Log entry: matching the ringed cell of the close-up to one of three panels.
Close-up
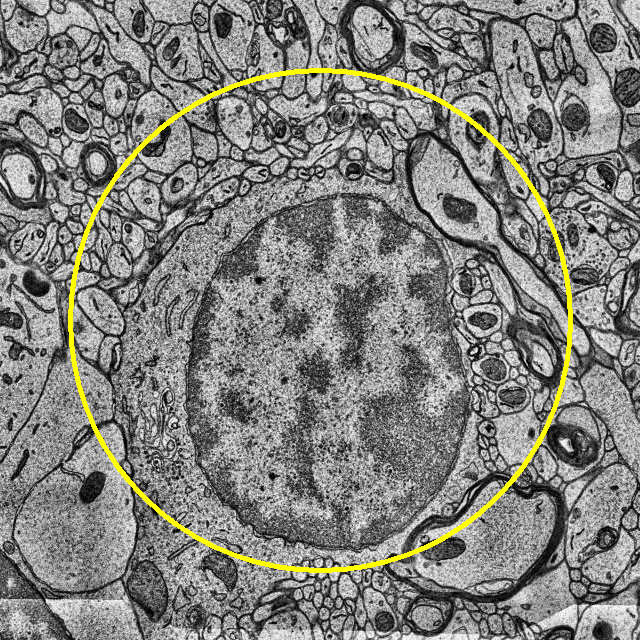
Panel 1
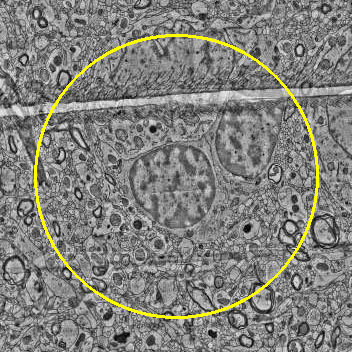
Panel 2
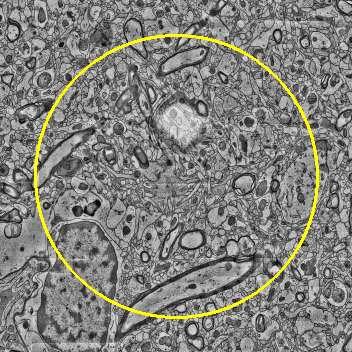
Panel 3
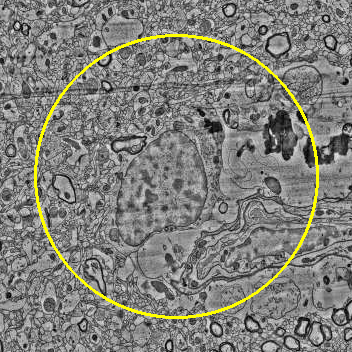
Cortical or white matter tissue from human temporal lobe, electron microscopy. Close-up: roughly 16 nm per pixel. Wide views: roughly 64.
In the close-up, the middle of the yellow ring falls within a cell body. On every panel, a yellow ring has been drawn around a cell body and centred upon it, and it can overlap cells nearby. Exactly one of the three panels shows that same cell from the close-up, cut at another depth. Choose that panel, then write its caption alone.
Panel 2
